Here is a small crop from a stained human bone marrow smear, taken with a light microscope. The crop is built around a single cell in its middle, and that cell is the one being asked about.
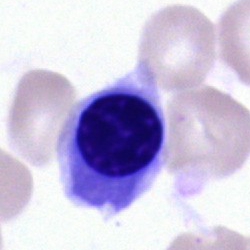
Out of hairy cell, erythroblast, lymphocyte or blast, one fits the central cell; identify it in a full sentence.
The centrally located cell in the crop is an erythroblast.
